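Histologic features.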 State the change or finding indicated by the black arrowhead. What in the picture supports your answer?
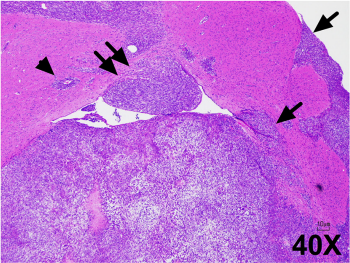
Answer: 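A small cluster of purple cells lies around a vessel-like space in the pink tissue. The answer: perivascular spread.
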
